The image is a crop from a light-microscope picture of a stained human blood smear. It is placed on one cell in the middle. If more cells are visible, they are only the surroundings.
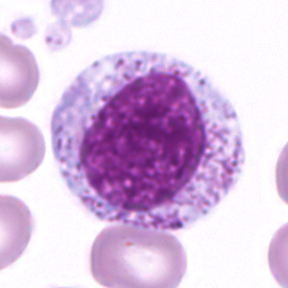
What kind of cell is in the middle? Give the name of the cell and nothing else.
myelocyte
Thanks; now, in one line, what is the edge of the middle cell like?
Smooth edges only, with no spikes, blebs, or other projections.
